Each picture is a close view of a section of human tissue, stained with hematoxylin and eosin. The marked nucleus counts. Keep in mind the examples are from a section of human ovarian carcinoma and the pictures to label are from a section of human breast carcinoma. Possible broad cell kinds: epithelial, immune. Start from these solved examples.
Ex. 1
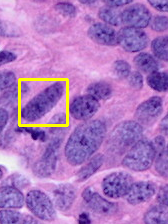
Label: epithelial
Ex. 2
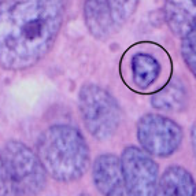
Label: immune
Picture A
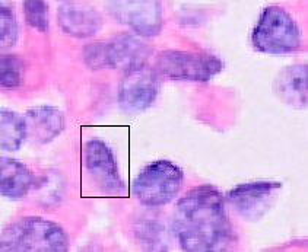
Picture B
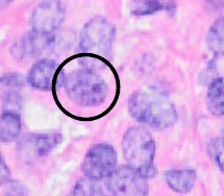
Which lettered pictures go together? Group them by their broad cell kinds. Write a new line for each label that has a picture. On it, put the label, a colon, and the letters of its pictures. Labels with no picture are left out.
epithelial: A, B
